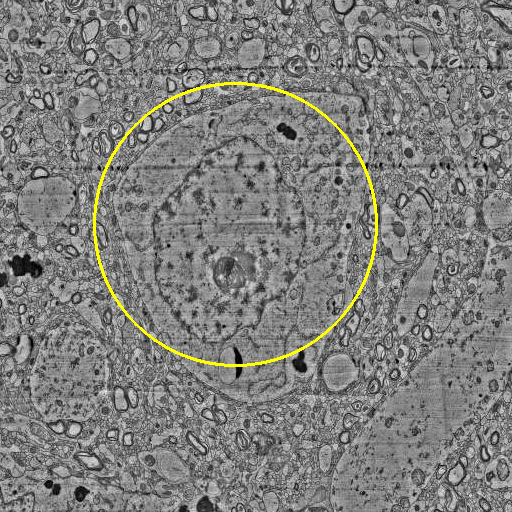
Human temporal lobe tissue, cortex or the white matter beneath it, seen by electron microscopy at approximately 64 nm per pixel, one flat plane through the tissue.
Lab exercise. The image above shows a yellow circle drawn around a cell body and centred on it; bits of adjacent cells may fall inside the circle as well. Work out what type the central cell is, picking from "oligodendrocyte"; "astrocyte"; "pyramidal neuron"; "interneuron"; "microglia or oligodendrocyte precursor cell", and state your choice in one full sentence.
In the image above, the cell at the centre of the yellow circle is a pyramidal neuron.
